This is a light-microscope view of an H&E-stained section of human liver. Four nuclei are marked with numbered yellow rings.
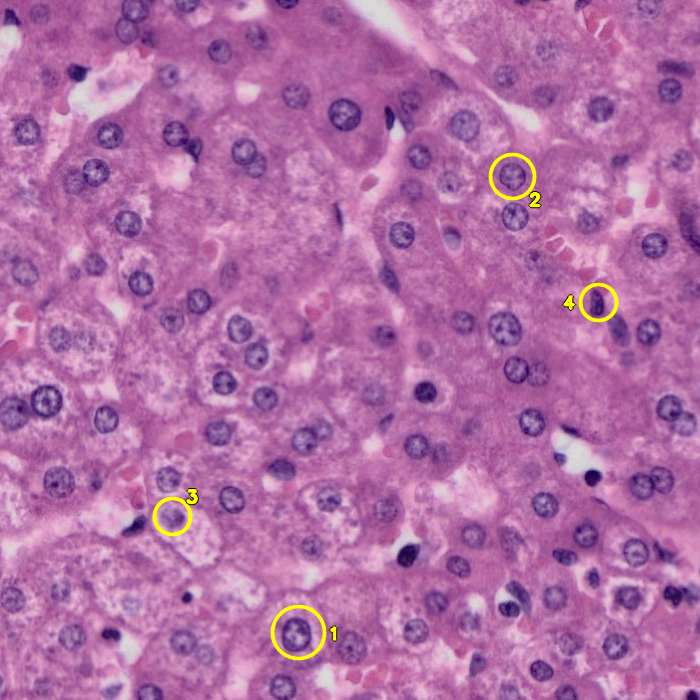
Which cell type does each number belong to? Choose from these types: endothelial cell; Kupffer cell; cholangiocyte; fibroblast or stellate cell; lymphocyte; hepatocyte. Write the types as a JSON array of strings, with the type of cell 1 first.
["hepatocyte", "hepatocyte", "hepatocyte", "fibroblast or stellate cell"]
